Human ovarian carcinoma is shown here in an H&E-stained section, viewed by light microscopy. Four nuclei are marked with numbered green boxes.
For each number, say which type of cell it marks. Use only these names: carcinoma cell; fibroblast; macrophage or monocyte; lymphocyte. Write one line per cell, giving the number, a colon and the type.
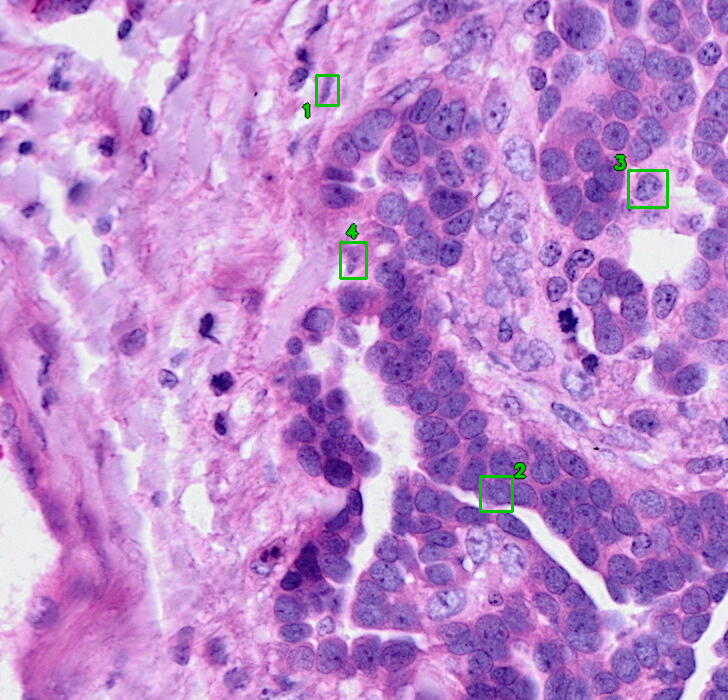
1: fibroblast
2: carcinoma cell
3: macrophage or monocyte
4: fibroblast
